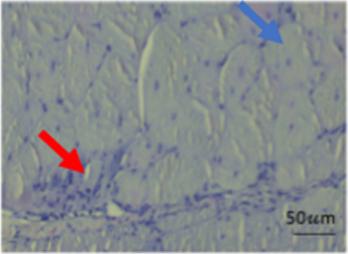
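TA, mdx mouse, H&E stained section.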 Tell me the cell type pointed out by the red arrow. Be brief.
inflammatory cells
